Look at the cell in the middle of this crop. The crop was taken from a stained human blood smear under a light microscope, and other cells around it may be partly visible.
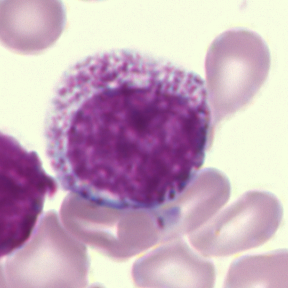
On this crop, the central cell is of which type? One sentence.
Regarding the central cell, it is a myelocyte.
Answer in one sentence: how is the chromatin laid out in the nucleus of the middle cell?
In this cell the chromatin is fine rather than coarsely clumped.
